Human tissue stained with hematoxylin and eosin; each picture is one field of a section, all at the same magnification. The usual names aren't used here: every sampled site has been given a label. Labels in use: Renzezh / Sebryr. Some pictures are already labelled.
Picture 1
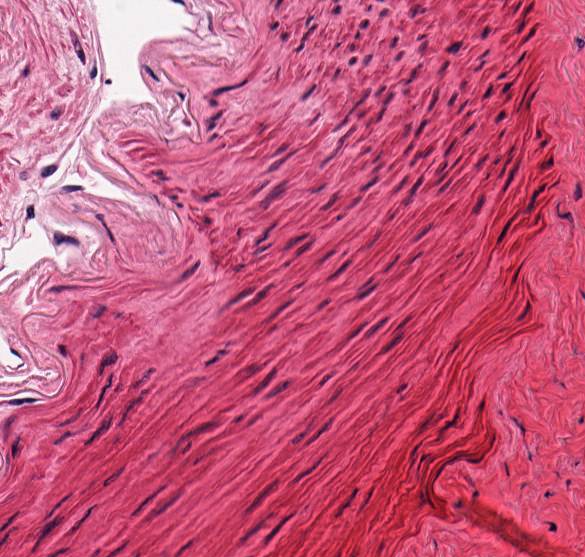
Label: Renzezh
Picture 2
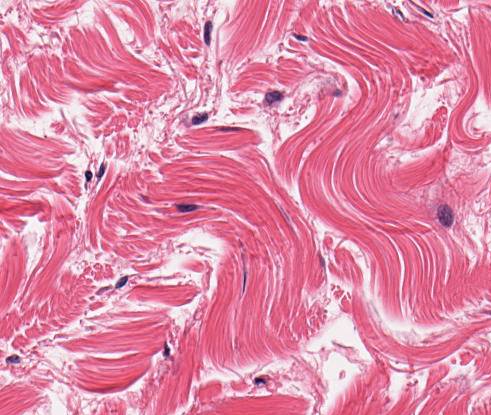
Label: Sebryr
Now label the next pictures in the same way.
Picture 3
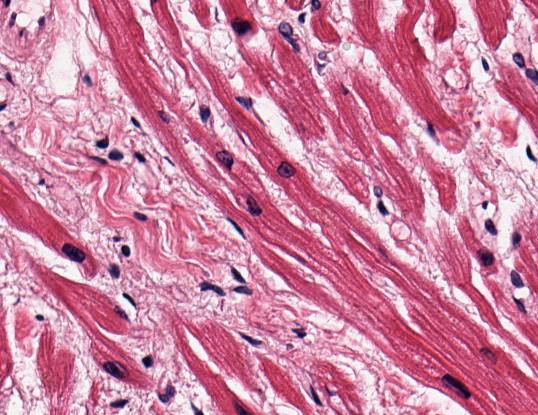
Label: Sebryr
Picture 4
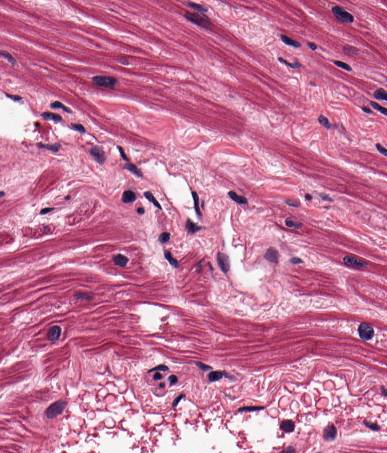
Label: Sebryr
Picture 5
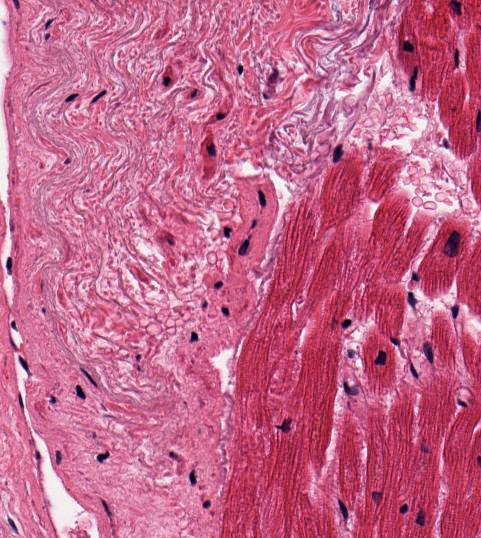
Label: Sebryr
